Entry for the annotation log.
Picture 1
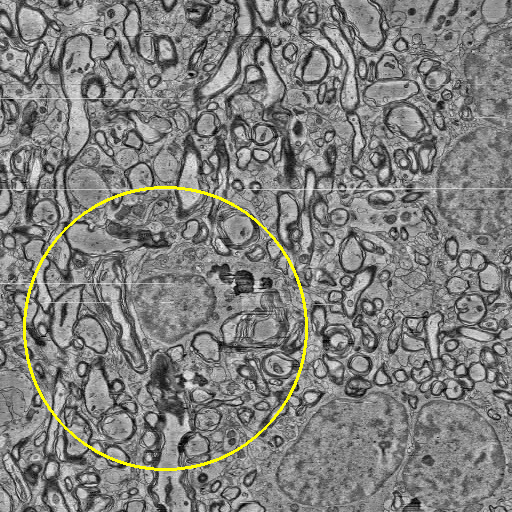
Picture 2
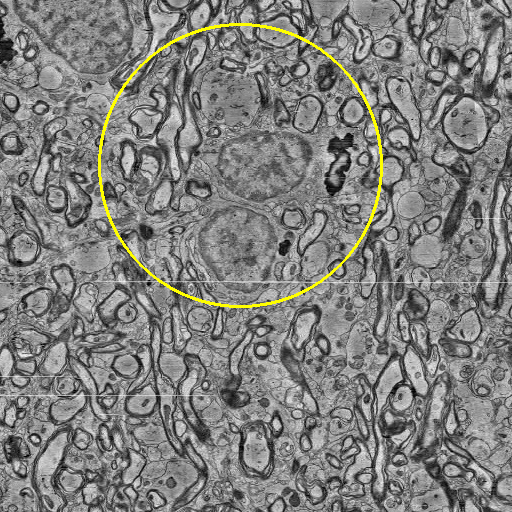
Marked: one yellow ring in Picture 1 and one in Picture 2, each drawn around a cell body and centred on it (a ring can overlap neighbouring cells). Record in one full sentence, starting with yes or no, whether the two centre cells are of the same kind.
Yes, both cells are of the same kind.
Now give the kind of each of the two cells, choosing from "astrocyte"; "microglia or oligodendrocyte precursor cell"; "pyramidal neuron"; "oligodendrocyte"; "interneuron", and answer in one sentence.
Each of the two pictures has an oligodendrocyte at the ring centre.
